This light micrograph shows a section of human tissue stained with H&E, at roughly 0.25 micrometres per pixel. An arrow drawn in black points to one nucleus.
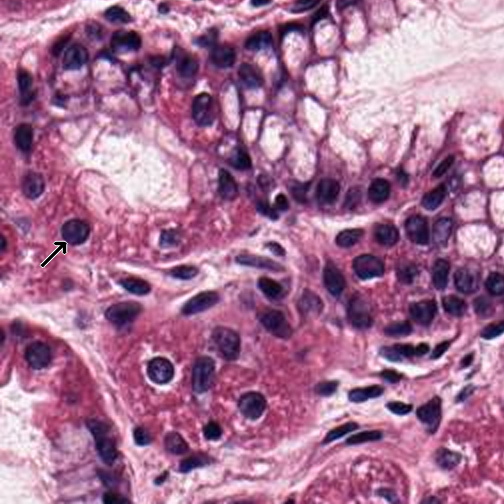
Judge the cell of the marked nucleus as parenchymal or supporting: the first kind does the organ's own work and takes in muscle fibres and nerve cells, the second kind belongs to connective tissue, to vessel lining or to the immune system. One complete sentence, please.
The parenchymal cell containing the marked nucleus is a parietal cell.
